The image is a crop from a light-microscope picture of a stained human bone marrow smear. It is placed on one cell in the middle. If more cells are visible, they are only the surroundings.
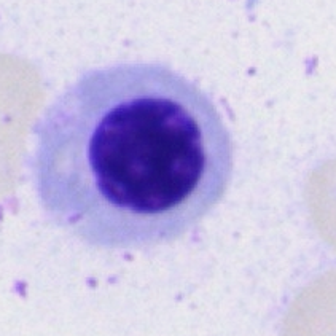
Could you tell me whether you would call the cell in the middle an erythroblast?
yes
